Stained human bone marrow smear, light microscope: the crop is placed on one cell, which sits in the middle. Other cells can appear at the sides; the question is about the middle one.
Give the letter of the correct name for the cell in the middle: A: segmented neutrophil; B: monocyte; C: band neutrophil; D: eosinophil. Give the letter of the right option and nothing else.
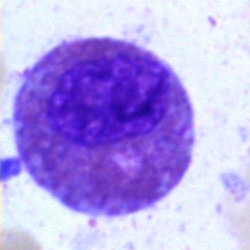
D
